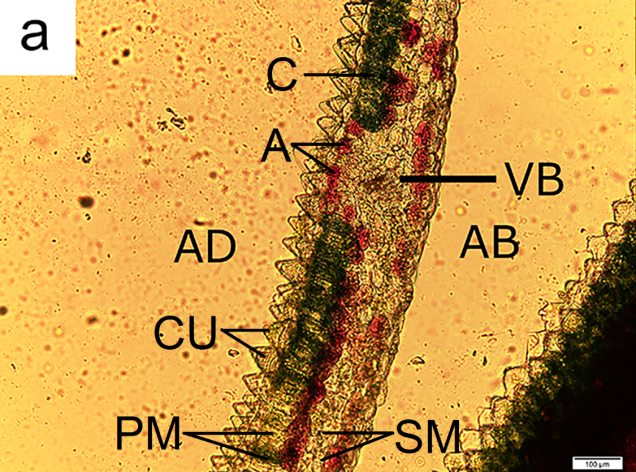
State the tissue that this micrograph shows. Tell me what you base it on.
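Leaf. A thin flat blade is cut across, with an upper and a lower surface. Green chloroplast-rich cells form a band inside the blade. The outer surface has a toothed, translucent covering layer.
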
